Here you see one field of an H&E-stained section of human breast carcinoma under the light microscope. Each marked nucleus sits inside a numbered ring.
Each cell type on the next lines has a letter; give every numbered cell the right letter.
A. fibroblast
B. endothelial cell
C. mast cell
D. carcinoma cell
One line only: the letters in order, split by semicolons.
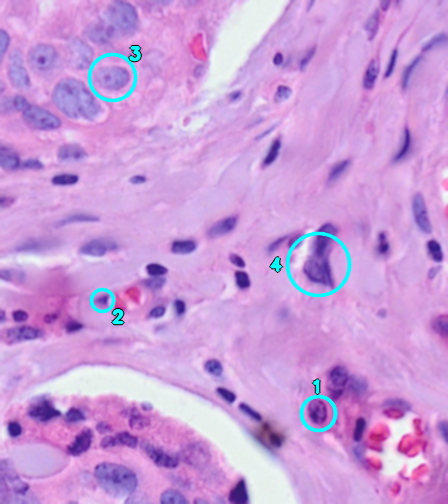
C; B; D; A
